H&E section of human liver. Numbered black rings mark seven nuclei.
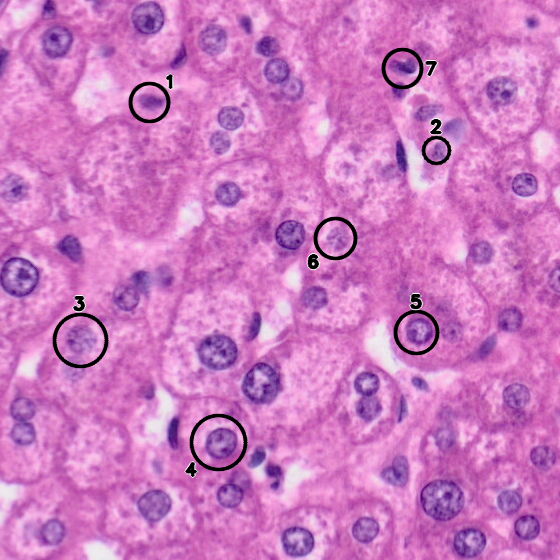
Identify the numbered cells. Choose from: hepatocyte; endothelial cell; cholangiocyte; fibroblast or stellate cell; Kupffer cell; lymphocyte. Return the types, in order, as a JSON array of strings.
["endothelial cell", "Kupffer cell", "hepatocyte", "hepatocyte", "hepatocyte", "hepatocyte", "endothelial cell"]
